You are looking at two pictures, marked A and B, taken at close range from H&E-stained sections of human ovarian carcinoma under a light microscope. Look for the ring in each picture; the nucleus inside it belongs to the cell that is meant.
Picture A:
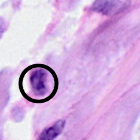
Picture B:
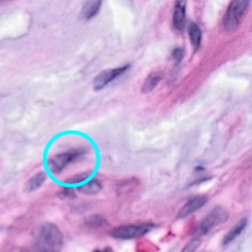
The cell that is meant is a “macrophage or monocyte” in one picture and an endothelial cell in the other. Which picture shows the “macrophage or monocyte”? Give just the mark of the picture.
A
